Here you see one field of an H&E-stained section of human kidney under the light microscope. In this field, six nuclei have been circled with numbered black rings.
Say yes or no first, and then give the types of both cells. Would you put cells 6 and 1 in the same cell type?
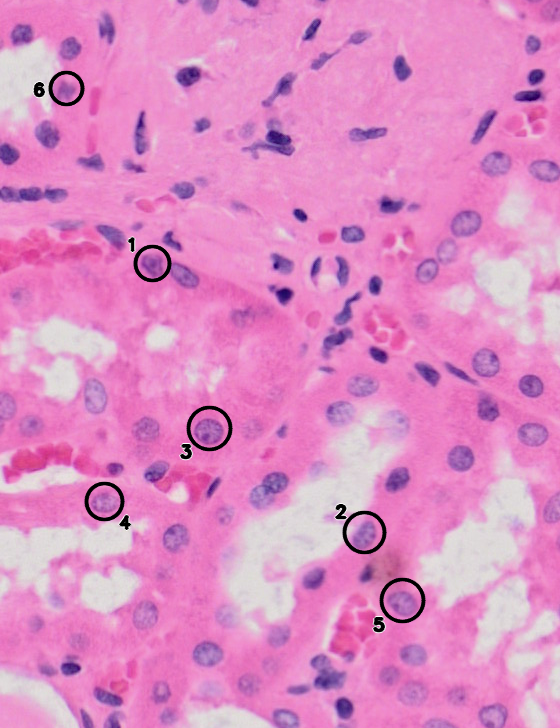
No, as for cell 6, it is a loop of Henle or distal tubule cell, and cell 1 is a proximal tubule cell.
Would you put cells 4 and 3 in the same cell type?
Yes, sure, cells 4 and 3 are both proximal tubule cells.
